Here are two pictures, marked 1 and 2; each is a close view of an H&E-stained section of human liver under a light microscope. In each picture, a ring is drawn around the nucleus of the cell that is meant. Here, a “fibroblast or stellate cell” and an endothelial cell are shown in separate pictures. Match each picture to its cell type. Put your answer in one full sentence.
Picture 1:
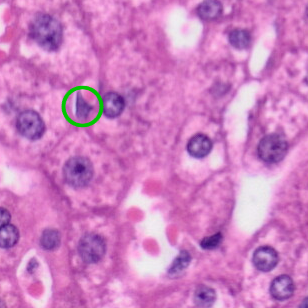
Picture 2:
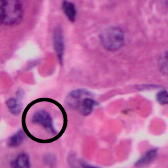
In picture 1 the cell is an endothelial cell; in picture 2, a “fibroblast or stellate cell”.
